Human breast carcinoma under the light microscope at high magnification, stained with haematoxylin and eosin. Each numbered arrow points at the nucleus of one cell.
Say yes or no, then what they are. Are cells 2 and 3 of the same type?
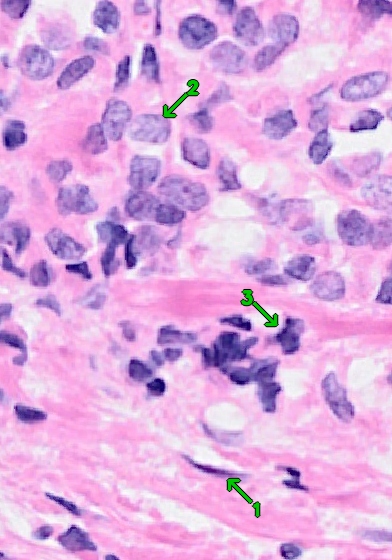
Yes, both are carcinoma cells.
